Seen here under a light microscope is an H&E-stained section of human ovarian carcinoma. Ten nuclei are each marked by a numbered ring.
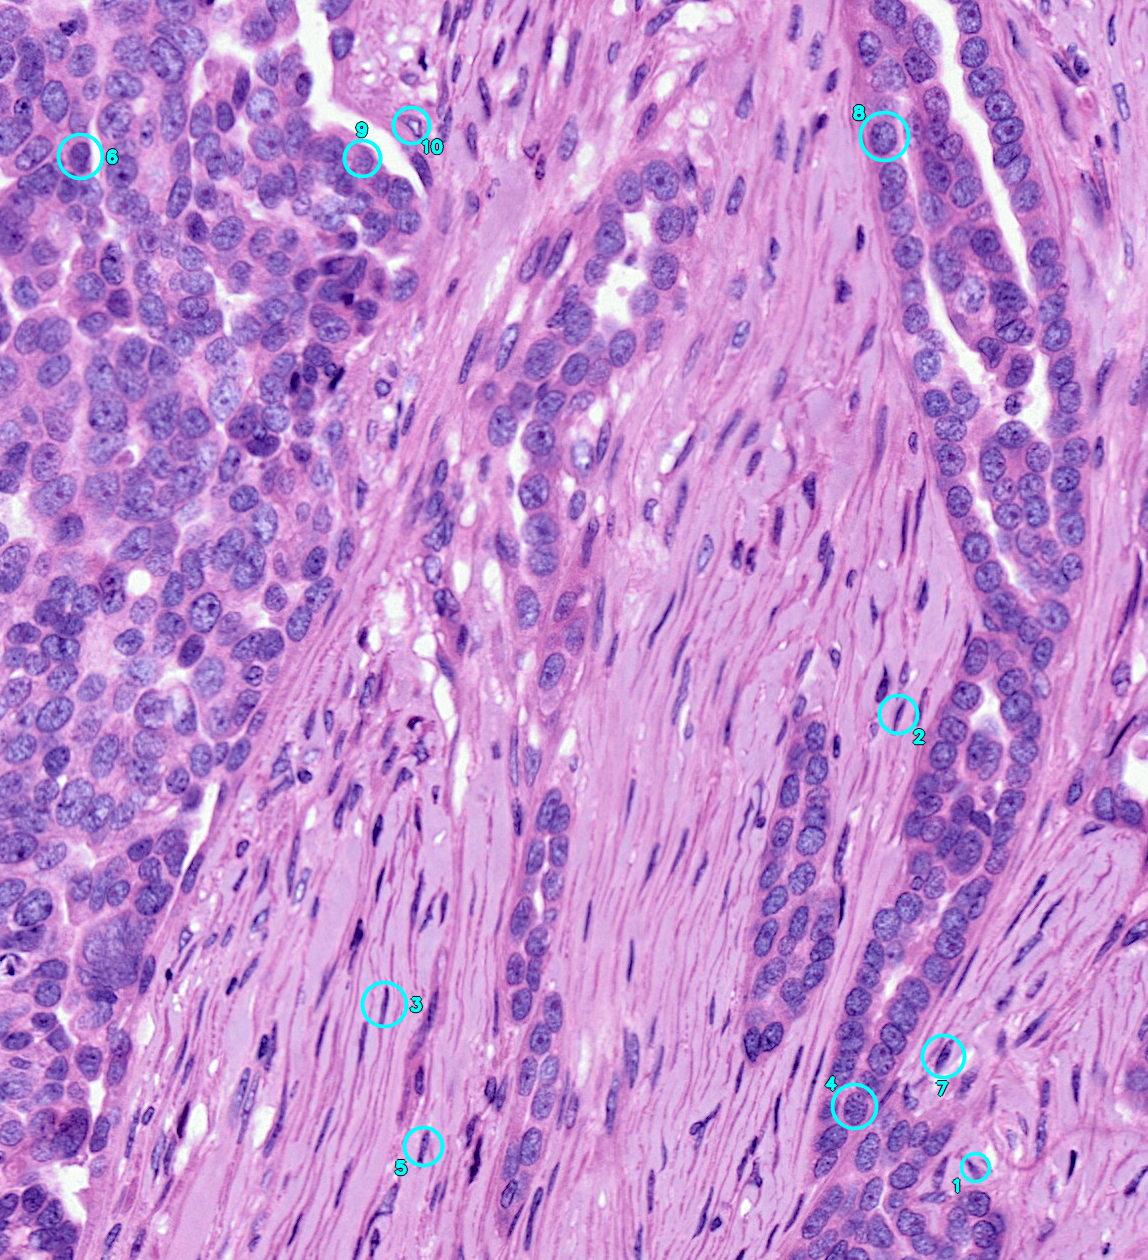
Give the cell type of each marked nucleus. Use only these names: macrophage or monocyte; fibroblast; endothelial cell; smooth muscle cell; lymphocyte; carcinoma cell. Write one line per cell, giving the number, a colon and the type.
1: fibroblast
2: fibroblast
3: fibroblast
4: carcinoma cell
5: fibroblast
6: carcinoma cell
7: fibroblast
8: carcinoma cell
9: carcinoma cell
10: fibroblast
